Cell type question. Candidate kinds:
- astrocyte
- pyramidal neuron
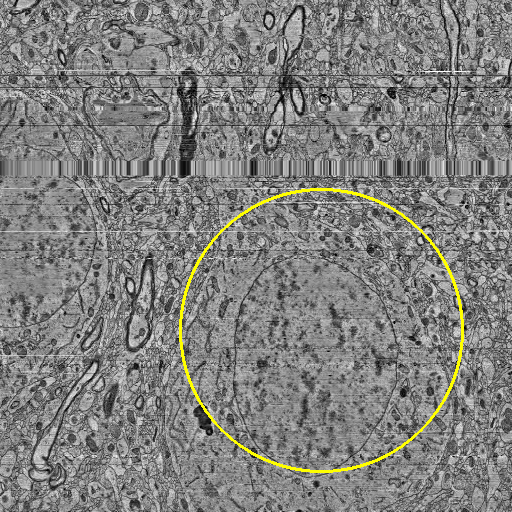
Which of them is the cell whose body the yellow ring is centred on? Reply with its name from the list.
pyramidal neuron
